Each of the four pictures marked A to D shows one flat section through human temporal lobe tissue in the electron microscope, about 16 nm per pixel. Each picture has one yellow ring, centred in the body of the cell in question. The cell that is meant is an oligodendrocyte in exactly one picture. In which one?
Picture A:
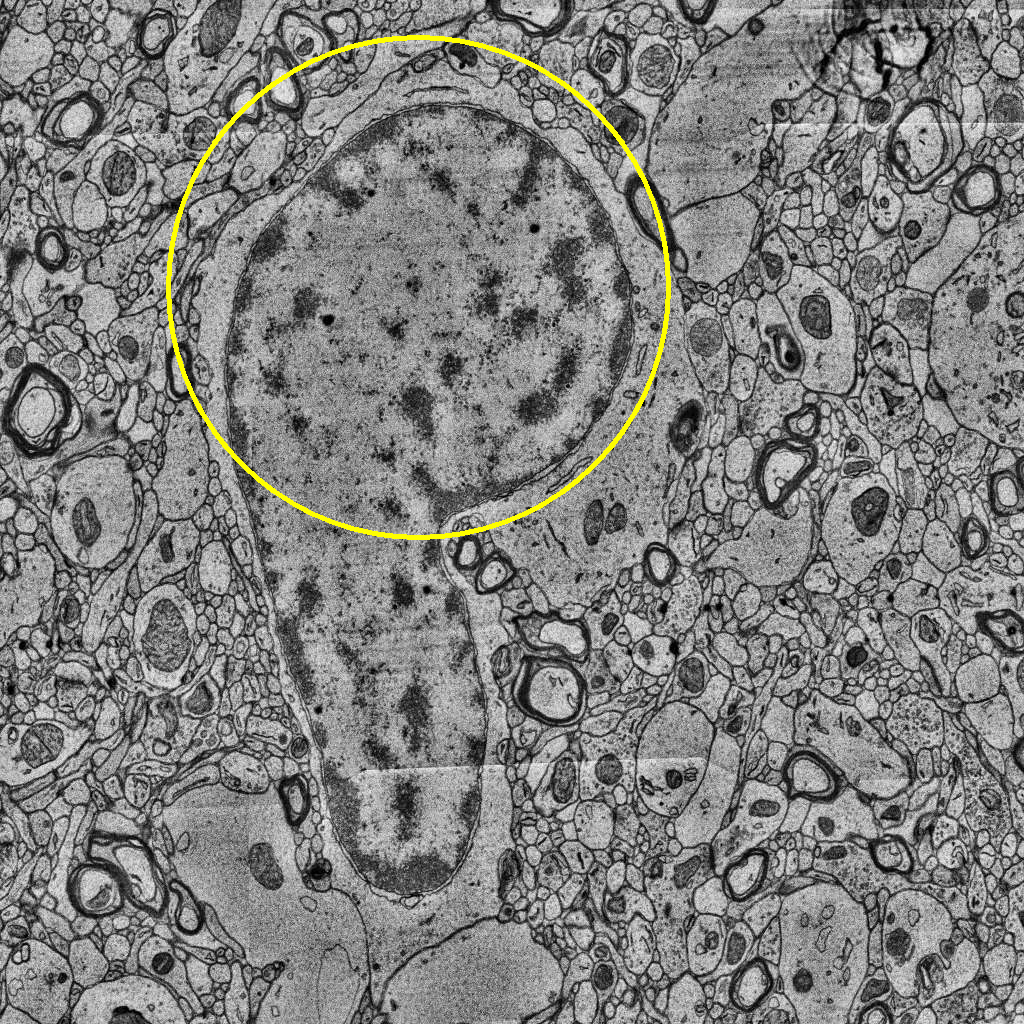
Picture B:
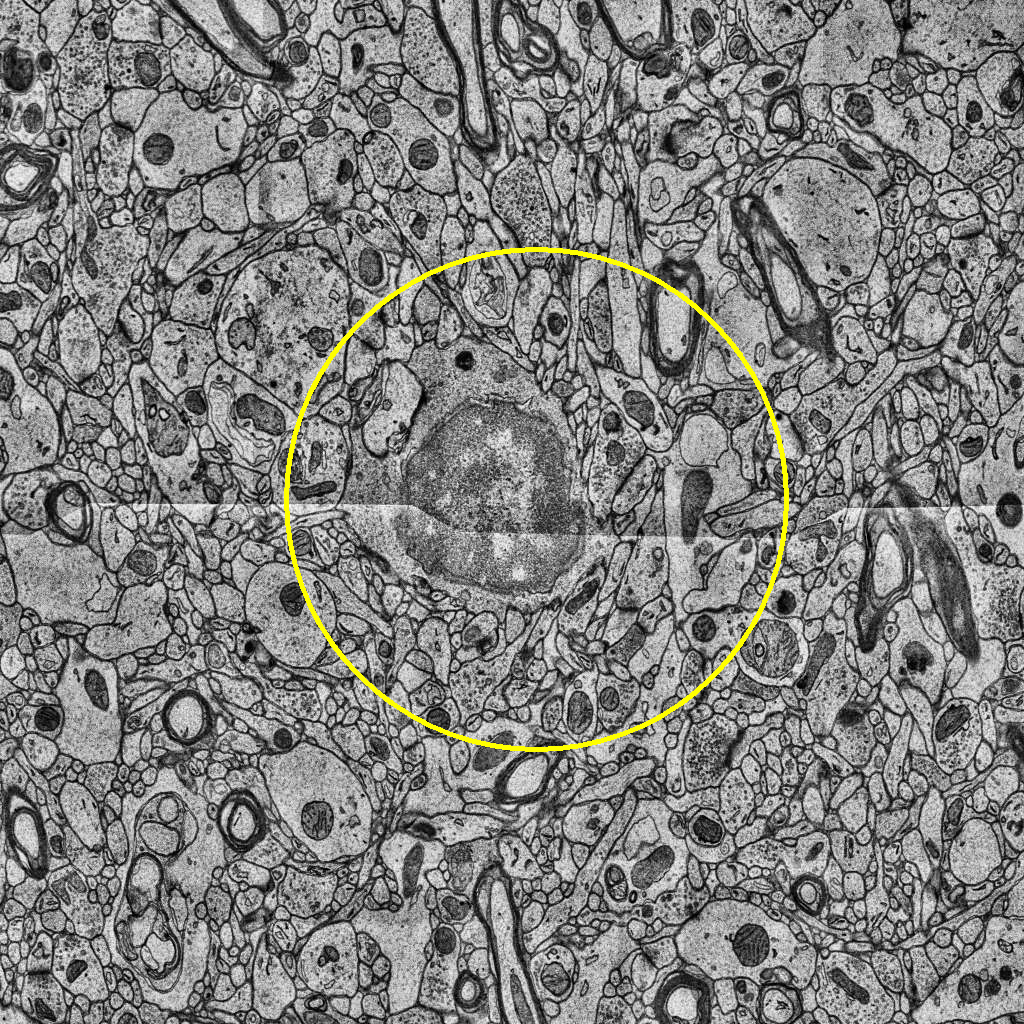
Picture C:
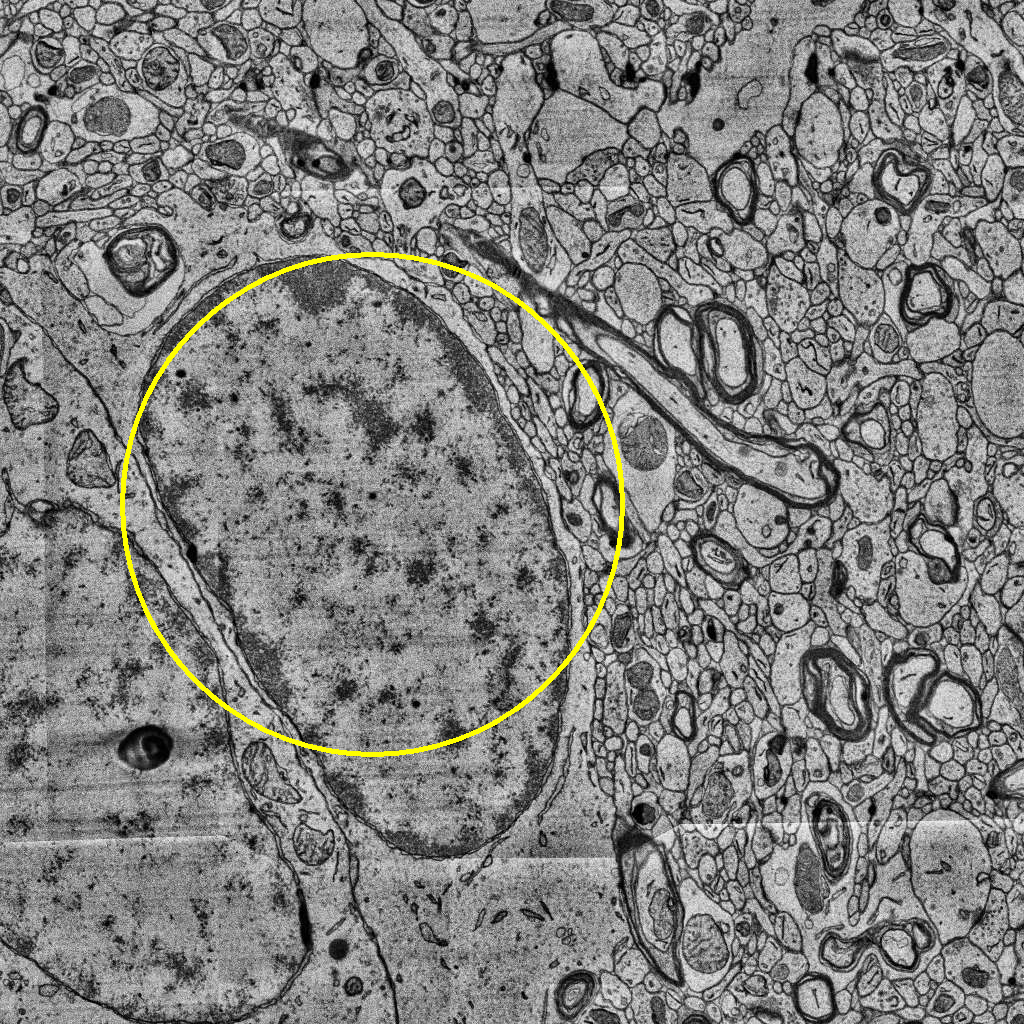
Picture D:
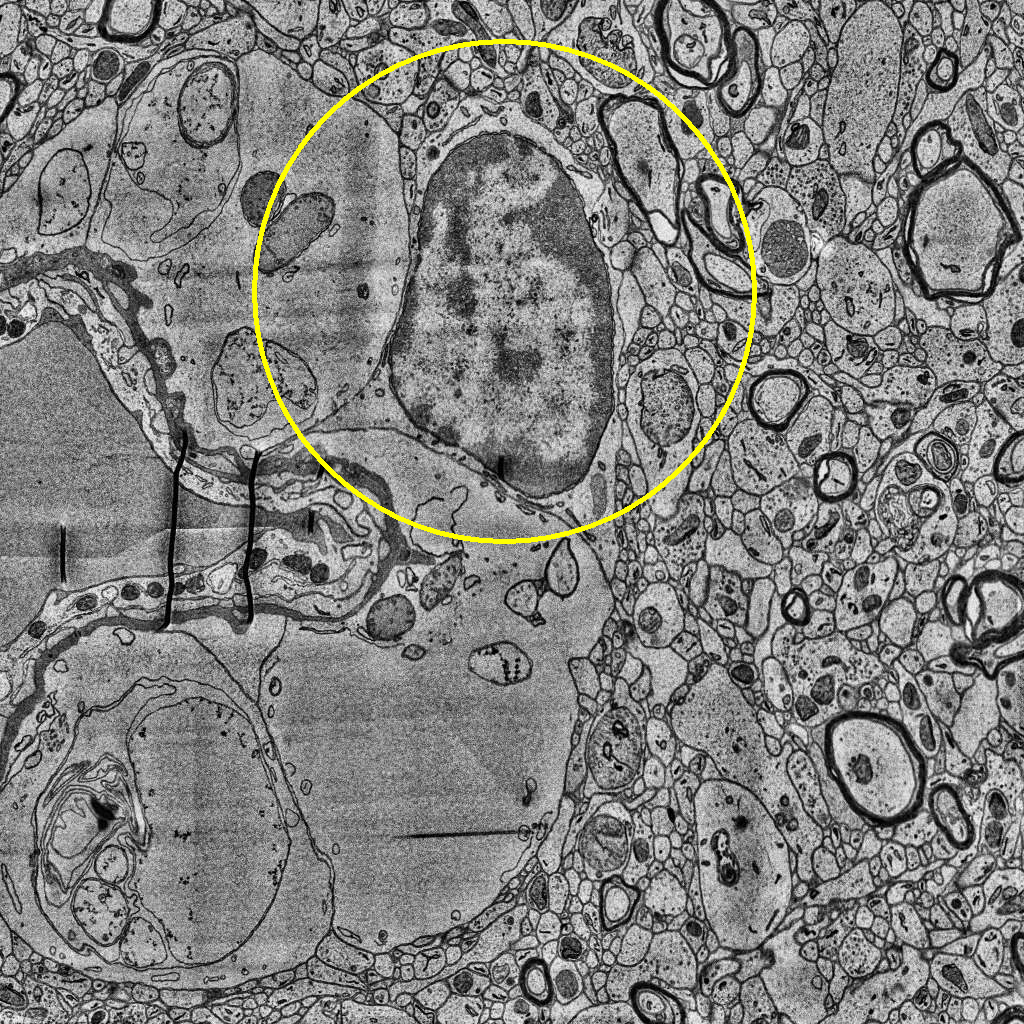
Picture B shows the oligodendrocyte.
